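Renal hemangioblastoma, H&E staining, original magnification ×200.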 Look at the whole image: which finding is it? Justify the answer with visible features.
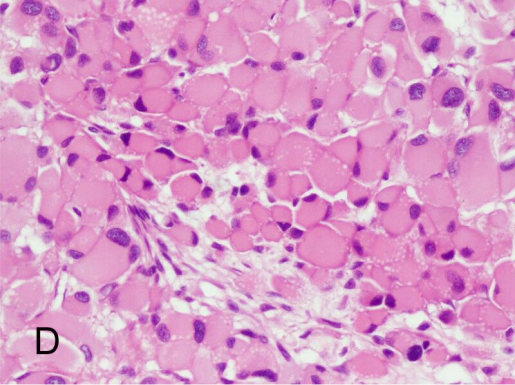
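Large cells with abundant glassy pink cytoplasm. Nuclei pushed to the edge of the cells.
Rhabdoid phenotype.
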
